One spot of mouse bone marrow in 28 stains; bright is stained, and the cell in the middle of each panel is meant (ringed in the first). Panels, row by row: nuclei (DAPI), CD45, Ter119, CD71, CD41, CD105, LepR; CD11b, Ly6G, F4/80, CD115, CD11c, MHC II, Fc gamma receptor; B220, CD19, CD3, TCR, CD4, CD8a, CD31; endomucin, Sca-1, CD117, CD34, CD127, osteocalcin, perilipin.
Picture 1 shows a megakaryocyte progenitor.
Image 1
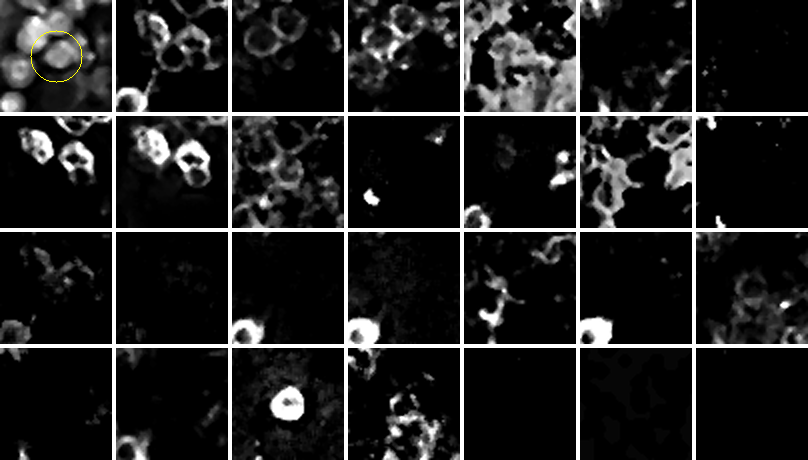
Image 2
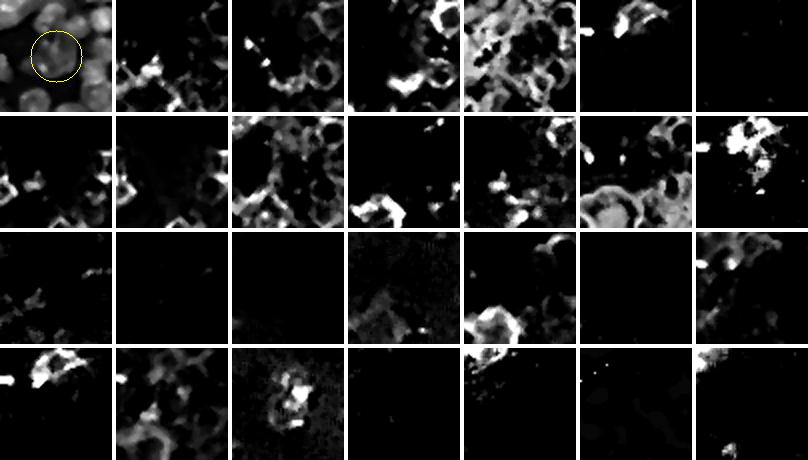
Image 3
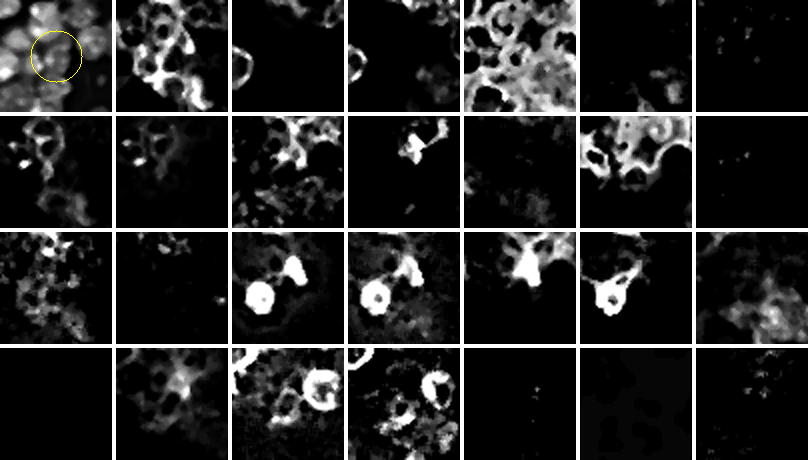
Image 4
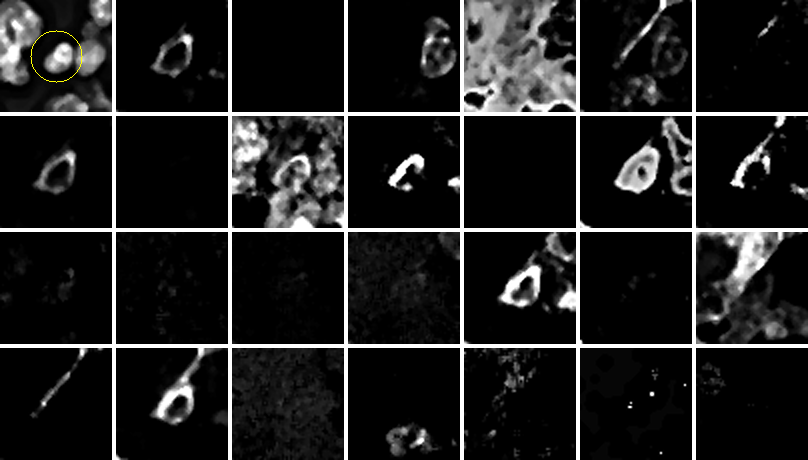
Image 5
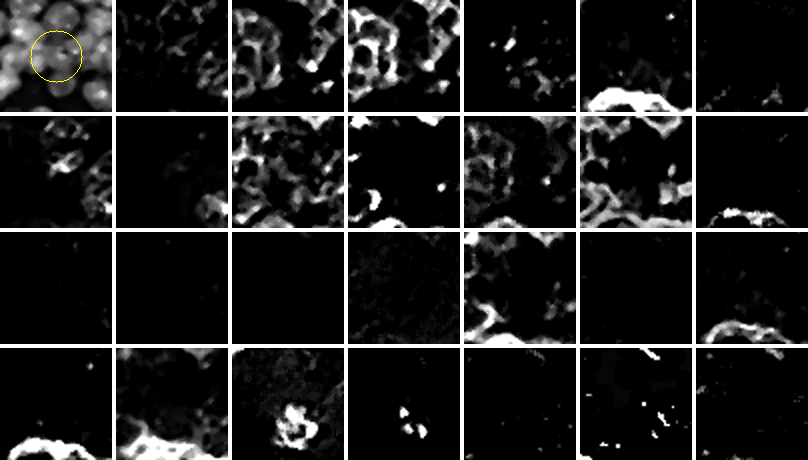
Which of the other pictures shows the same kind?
Picture 3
